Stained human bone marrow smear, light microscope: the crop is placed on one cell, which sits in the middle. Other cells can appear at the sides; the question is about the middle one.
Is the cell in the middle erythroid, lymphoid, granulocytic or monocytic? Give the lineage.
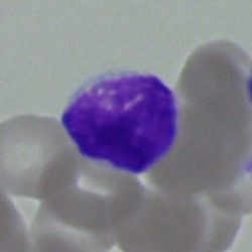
lymphoid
